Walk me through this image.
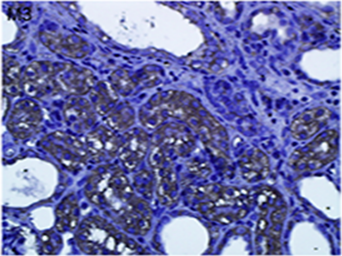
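Kidney tissue with closely packed tubules whose lining epithelial cells have dark brown, granular cytoplasm and round blue nuclei. Some tubular lumina are widened and clear, and thin strands of interstitium with blue nuclei lie between the tubules.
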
